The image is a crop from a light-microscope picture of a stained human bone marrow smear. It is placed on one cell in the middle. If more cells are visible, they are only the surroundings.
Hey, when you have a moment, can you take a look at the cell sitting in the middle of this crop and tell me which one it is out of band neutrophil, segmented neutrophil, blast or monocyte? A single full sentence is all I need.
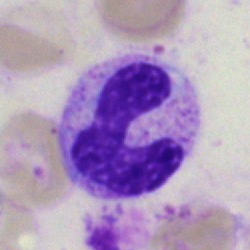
The cell the crop is centered on is a band neutrophil.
